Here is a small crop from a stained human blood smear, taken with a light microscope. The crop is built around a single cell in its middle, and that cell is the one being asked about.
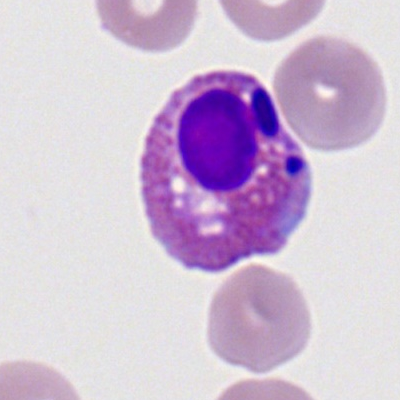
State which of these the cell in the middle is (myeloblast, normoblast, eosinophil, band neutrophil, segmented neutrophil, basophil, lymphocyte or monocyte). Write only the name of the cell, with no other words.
eosinophil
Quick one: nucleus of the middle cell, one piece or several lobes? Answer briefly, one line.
One compact mass makes up the whole nucleus, round, oval or kidney-shaped.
